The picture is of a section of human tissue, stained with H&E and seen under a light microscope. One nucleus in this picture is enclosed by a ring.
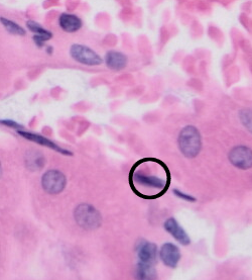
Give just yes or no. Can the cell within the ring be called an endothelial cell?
yes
